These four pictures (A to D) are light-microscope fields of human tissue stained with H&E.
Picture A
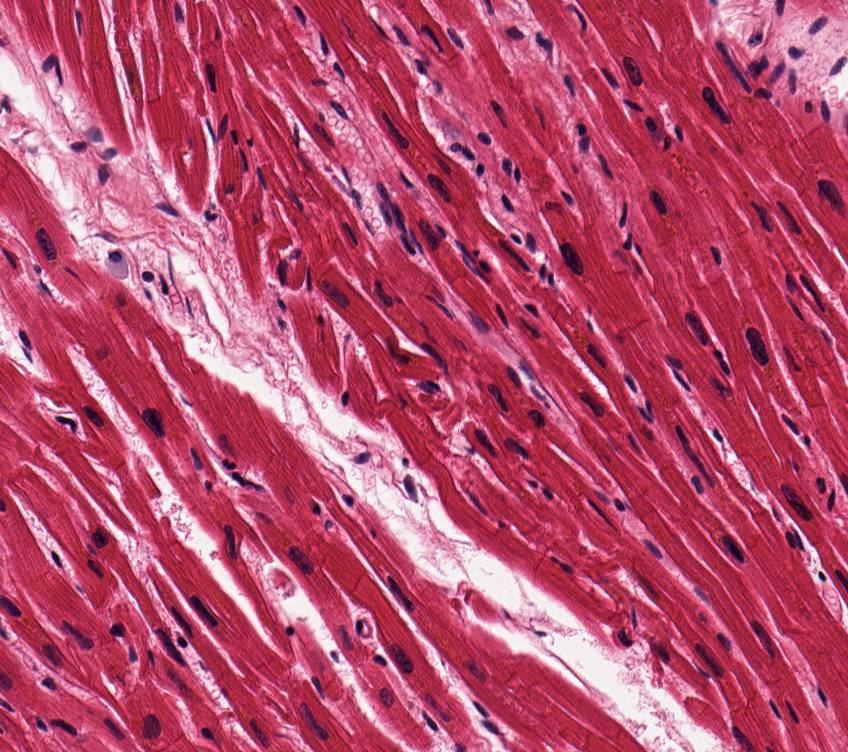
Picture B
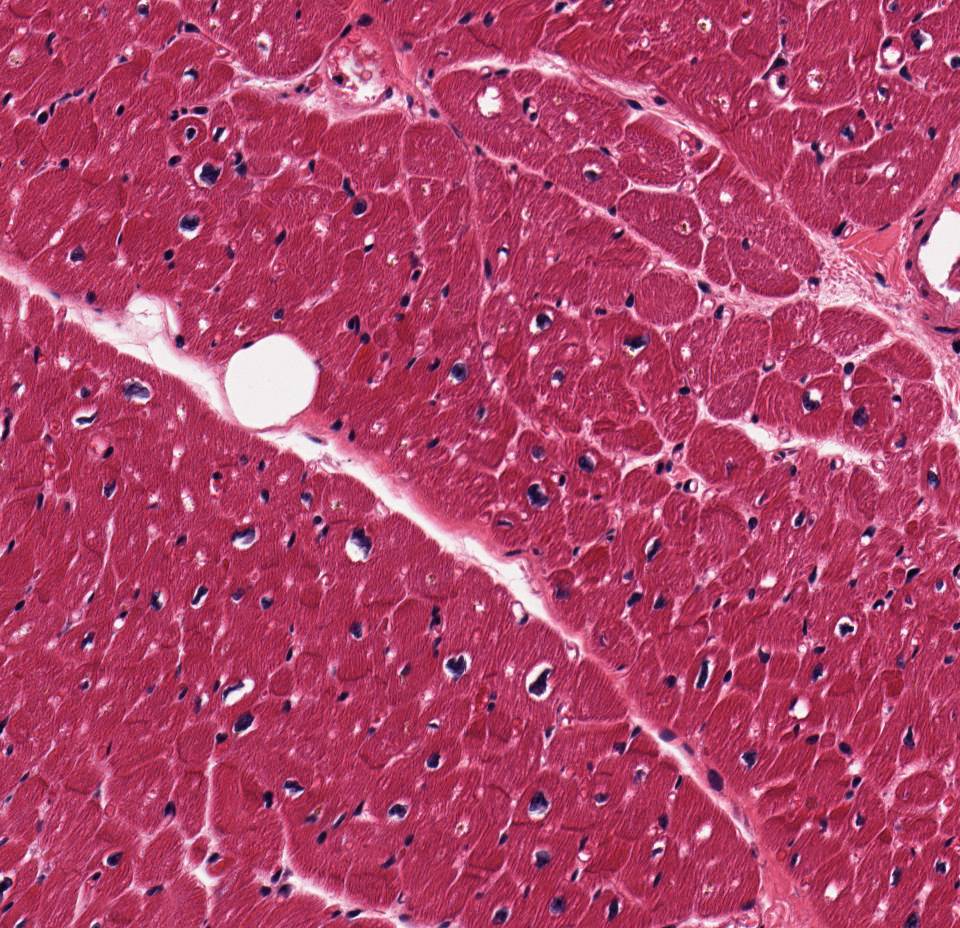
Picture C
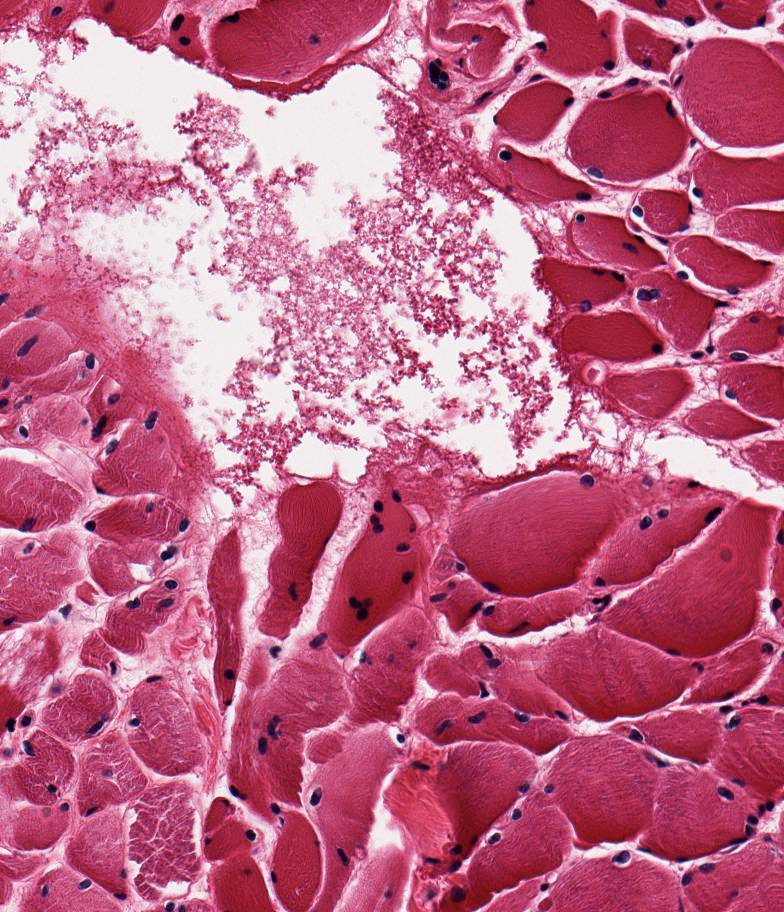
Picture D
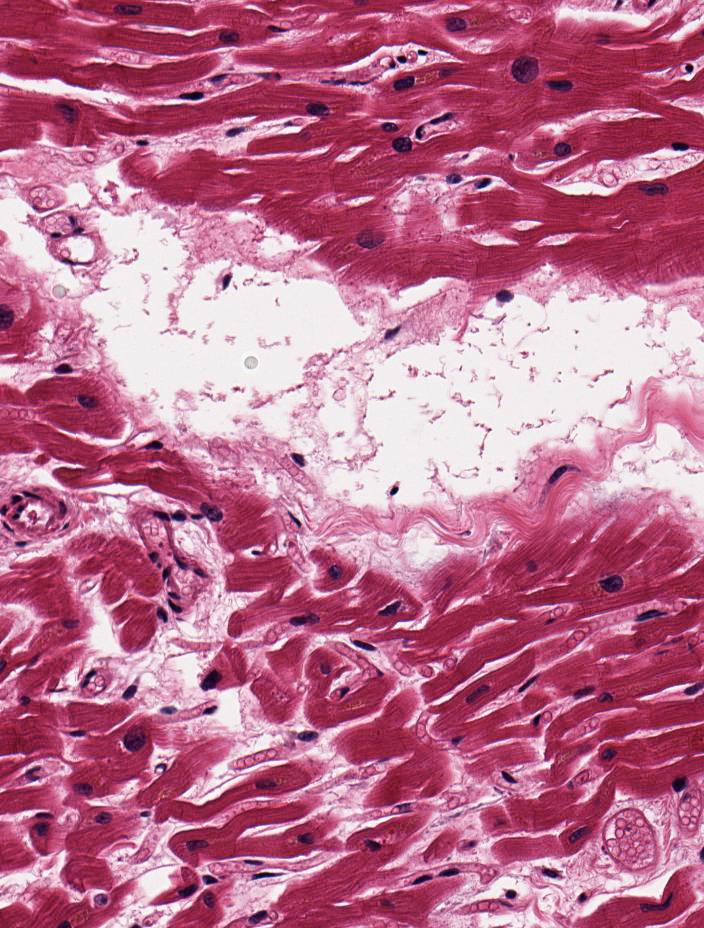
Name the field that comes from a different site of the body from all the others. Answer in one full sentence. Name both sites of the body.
All pictures except C come from the left ventricle of the heart; picture C comes from skeletal muscle.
